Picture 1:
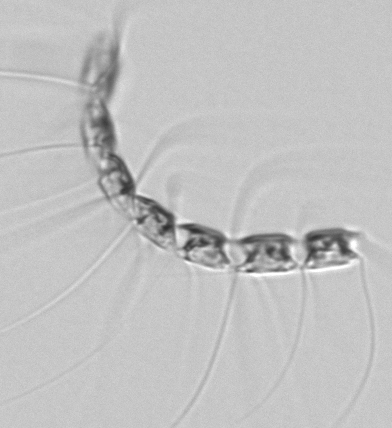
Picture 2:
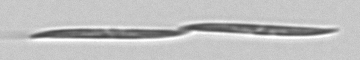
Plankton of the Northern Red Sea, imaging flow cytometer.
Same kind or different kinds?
Different: the first is Chaetoceros, the second Pseudo-nitzschia.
